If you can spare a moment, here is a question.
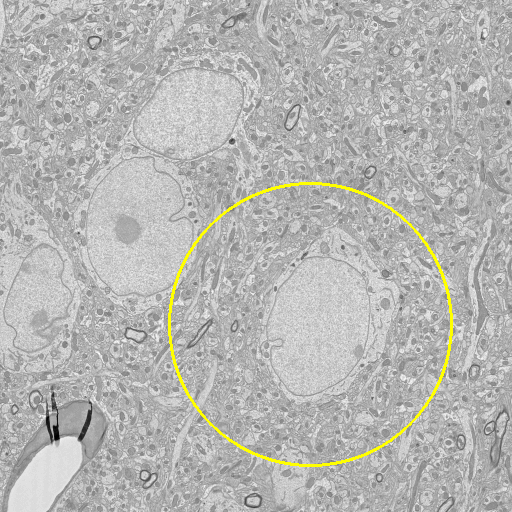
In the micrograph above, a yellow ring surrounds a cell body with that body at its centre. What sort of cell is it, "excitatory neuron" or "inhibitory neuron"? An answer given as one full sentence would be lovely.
Centred inside the yellow ring, the cell body shown belongs to an excitatory neuron in this micrograph.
